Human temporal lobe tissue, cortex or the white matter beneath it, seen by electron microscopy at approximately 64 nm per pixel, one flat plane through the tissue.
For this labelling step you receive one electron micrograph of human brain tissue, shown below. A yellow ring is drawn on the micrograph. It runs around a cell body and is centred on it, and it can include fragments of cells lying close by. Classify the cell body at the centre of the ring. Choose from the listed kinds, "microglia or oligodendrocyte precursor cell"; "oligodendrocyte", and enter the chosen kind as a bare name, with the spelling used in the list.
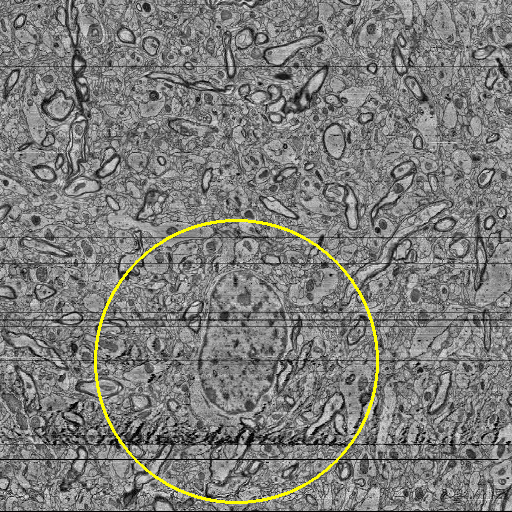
microglia or oligodendrocyte precursor cell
